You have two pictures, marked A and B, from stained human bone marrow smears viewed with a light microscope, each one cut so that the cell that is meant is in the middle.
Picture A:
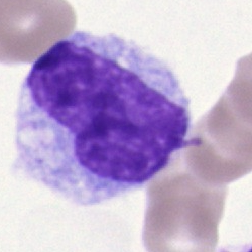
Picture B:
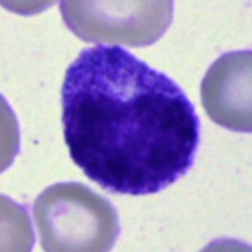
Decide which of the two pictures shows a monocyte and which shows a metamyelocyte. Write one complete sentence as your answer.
The cell in picture A is a monocyte, and the one in picture B is a metamyelocyte.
